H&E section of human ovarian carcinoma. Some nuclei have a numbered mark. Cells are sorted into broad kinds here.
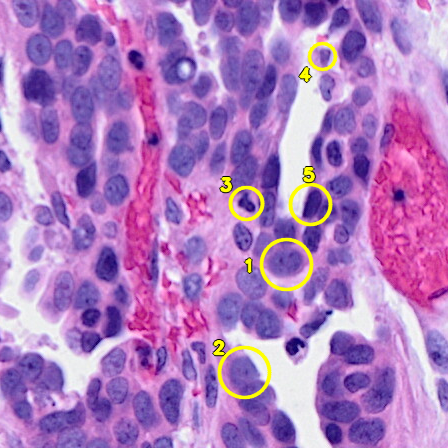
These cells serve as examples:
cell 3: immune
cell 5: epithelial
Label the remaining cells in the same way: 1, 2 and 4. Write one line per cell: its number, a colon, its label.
1: epithelial
2: epithelial
4: immune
